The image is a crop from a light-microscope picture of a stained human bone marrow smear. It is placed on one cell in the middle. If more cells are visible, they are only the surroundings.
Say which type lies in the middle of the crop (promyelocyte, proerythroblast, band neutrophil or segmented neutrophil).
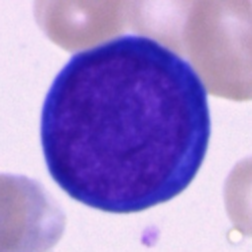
proerythroblast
